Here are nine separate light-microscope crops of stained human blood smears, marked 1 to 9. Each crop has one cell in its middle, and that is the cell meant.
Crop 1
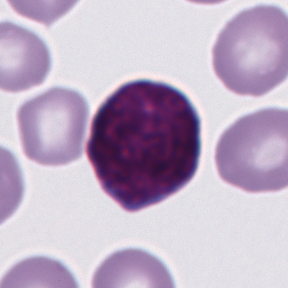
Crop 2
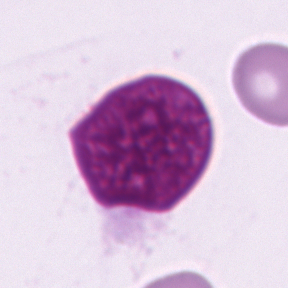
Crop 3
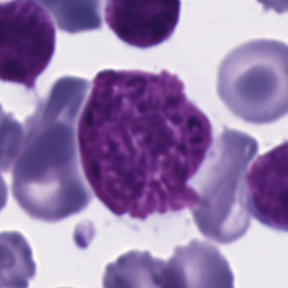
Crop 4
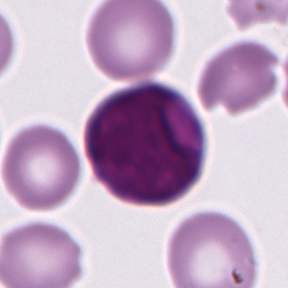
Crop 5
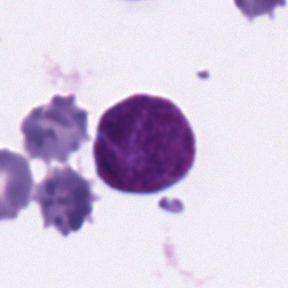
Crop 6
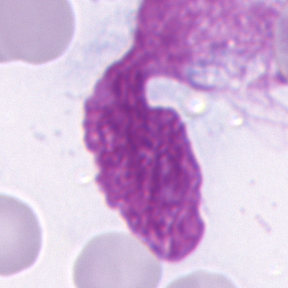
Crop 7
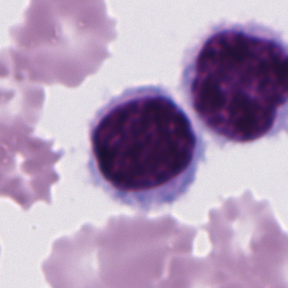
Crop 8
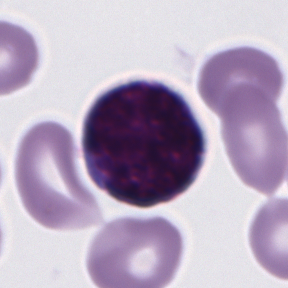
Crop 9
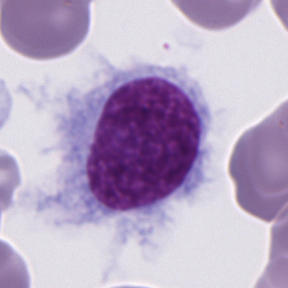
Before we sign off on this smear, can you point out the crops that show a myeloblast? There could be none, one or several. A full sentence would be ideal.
Crops 1, 4, 5 and 8 are the crops in which myeloblasts are shown.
